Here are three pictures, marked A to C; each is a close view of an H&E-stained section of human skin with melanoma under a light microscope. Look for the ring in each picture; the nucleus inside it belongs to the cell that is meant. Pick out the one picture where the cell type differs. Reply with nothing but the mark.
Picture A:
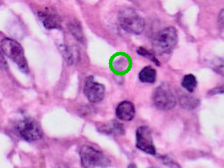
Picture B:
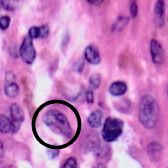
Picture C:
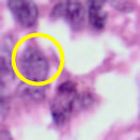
B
